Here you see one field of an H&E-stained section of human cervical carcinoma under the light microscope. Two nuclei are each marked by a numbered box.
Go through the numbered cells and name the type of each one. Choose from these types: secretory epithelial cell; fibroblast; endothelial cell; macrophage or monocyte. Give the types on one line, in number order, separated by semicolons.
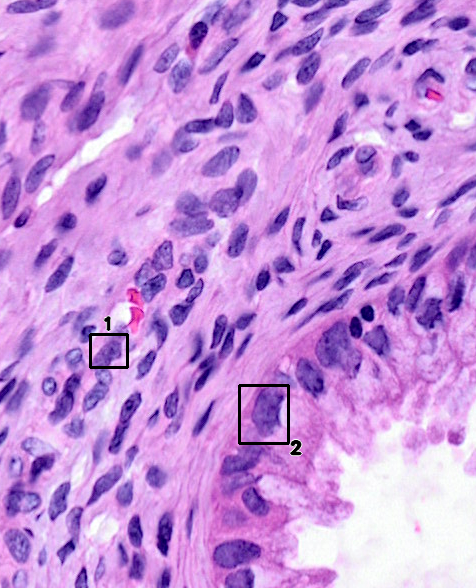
endothelial cell; secretory epithelial cell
